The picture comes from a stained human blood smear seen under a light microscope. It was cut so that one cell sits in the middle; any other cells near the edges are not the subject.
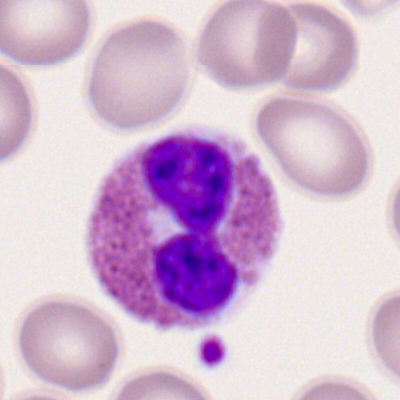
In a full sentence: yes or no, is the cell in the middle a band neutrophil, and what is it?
No, the cell sitting in the centre of the crop is an eosinophil, not a band neutrophil.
